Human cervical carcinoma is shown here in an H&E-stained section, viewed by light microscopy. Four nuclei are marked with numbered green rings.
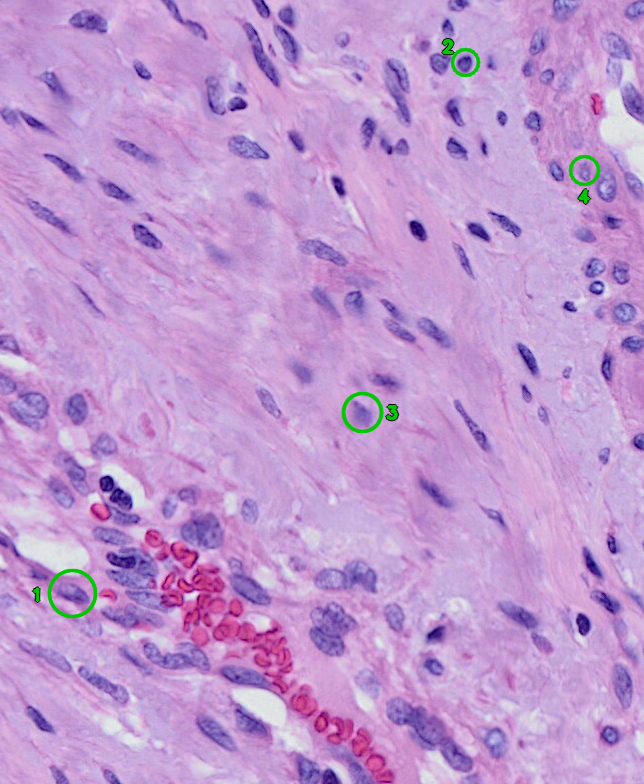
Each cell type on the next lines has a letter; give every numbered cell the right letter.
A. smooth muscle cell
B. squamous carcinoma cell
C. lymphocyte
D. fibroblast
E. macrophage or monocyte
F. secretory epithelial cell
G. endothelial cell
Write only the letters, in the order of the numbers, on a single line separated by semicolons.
G; D; D; A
